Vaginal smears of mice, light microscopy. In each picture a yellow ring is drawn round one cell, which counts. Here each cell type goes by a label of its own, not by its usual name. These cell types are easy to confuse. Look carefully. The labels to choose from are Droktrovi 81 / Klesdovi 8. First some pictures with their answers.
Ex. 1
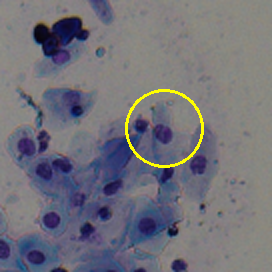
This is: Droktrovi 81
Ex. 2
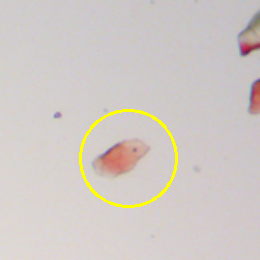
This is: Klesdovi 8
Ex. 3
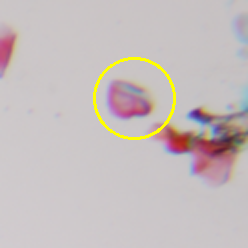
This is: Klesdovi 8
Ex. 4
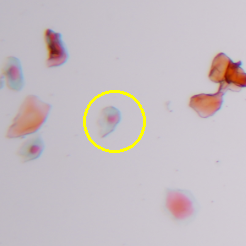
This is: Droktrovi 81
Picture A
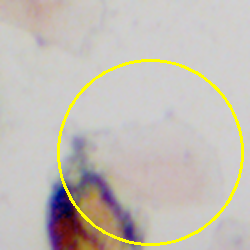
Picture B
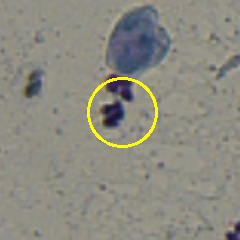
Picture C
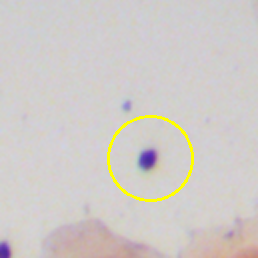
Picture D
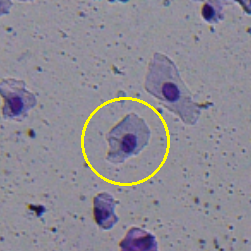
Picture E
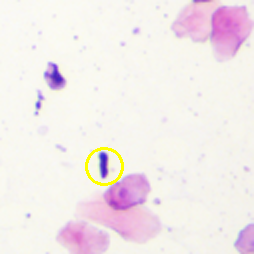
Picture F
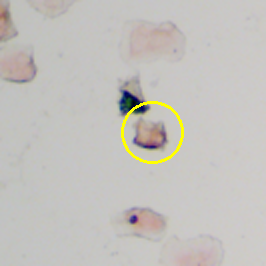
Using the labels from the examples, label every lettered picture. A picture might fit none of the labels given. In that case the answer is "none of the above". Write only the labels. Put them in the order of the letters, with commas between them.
Klesdovi 8, none of the above, none of the above, Droktrovi 81, none of the above, Klesdovi 8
